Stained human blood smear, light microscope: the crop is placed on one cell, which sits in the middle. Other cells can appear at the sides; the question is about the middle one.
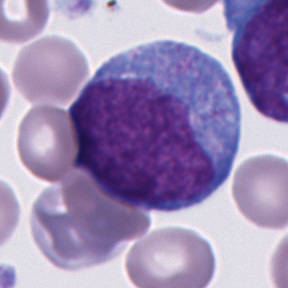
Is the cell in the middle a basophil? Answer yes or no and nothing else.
no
